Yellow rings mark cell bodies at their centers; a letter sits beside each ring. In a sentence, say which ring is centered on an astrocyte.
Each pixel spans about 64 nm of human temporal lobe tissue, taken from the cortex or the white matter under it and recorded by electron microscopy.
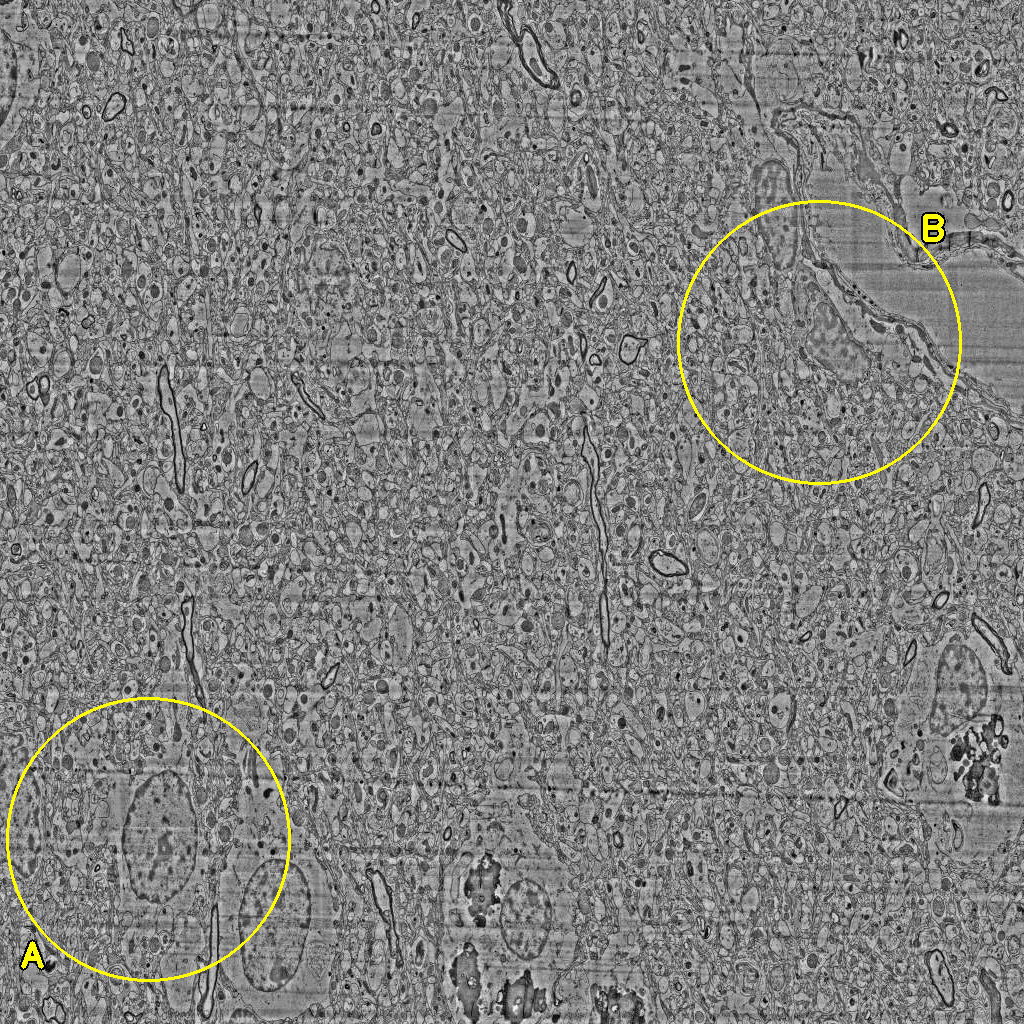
It is ring A.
